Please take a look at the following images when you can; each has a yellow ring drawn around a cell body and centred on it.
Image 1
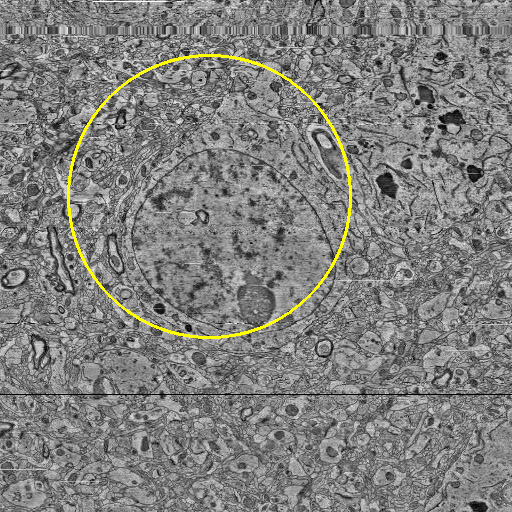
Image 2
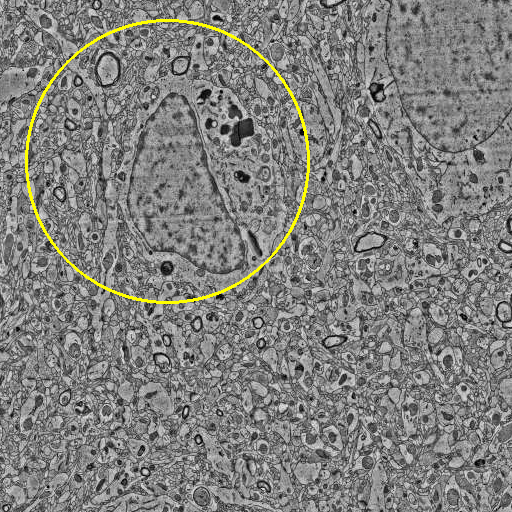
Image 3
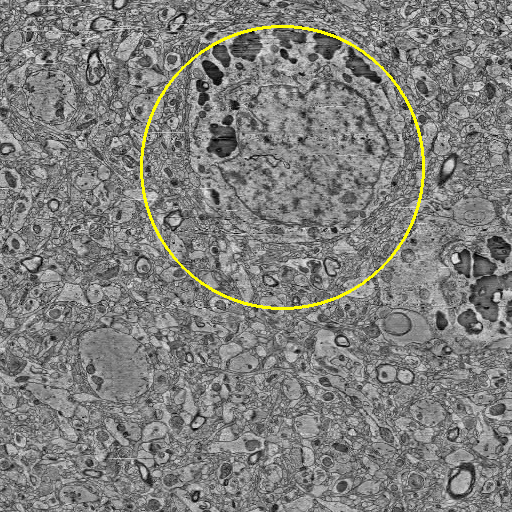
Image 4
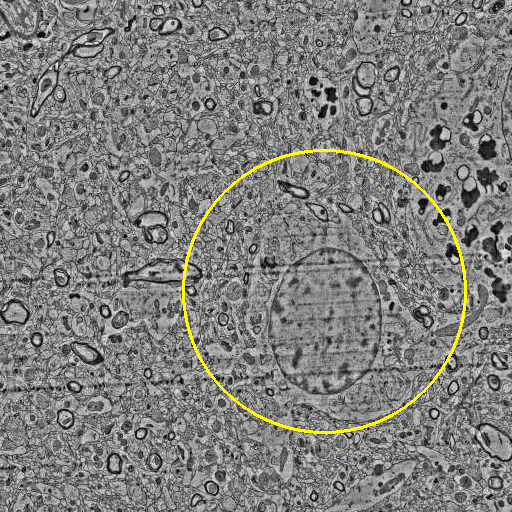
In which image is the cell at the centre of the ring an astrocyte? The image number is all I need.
4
